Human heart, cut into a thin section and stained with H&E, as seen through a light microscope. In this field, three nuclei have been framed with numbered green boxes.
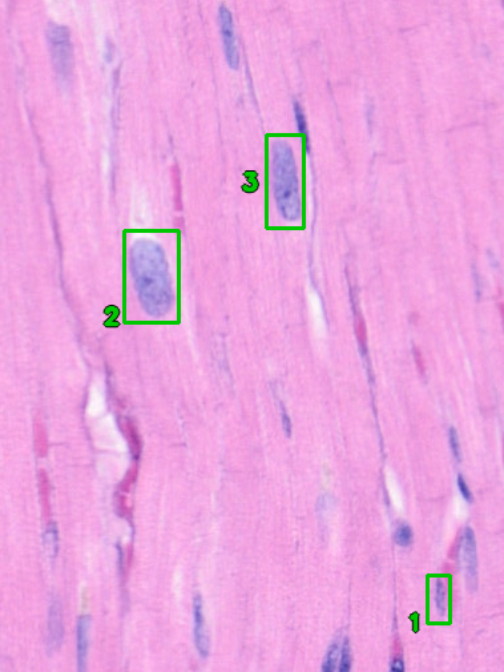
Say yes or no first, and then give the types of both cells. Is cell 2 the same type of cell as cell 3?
Yes, in this tissue section, cells 2 and 3 are both cardiomyocytes.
